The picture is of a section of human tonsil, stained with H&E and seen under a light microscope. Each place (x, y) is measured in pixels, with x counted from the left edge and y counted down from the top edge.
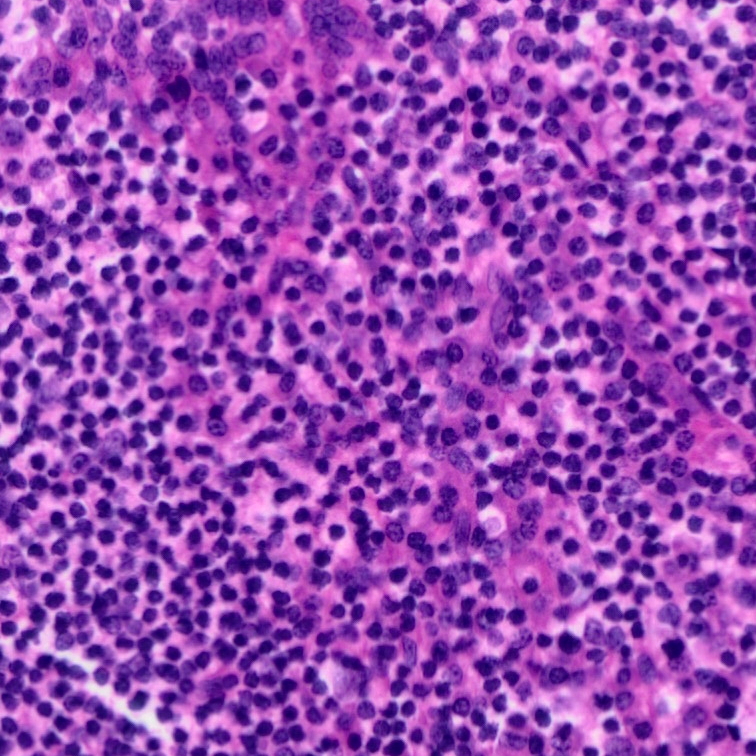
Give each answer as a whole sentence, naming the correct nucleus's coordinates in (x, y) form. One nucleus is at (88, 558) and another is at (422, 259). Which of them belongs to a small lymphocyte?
Of the two nuclei, the nucleus belonging to a small lymphocyte is located at (88, 558).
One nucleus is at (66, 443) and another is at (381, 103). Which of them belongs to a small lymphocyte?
Out of the two, it is the nucleus at (66, 443) that belongs to a small lymphocyte.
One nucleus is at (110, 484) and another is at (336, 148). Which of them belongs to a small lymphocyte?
In this pair, the nucleus at (110, 484) belongs to a small lymphocyte.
